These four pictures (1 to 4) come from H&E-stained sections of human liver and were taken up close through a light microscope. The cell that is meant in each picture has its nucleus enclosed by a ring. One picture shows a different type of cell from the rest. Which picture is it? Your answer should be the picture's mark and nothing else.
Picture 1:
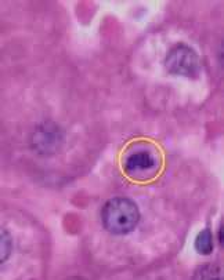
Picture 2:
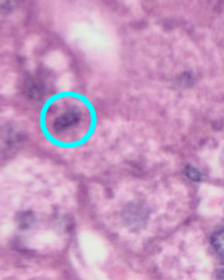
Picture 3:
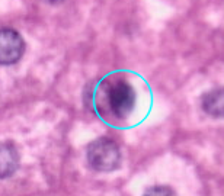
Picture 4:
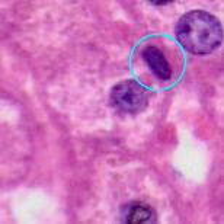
3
